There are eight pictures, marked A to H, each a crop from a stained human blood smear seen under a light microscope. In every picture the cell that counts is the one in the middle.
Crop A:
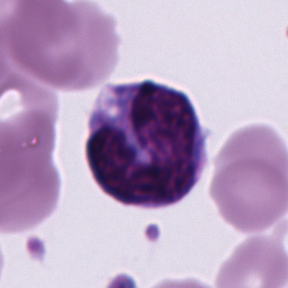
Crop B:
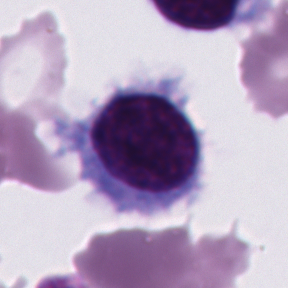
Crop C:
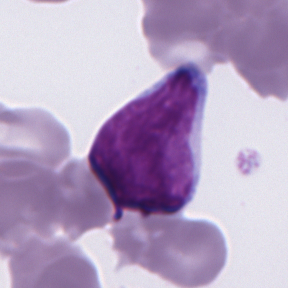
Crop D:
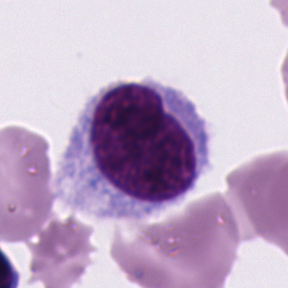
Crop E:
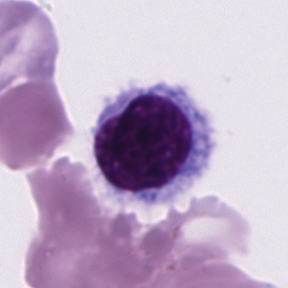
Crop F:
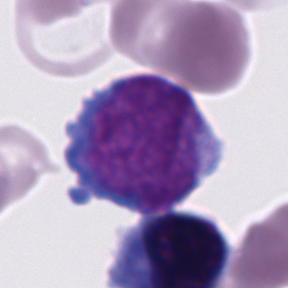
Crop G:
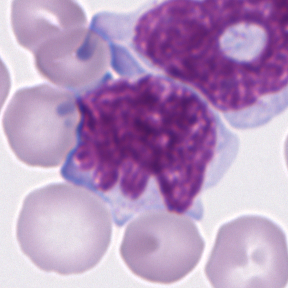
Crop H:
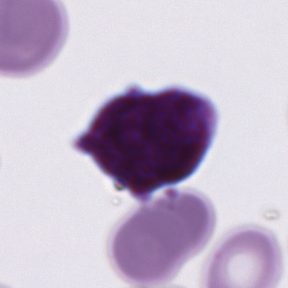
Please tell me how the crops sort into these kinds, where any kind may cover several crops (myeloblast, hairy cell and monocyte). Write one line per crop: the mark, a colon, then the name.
A: monocyte
B: hairy cell
C: myeloblast
D: hairy cell
E: hairy cell
F: myeloblast
G: monocyte
H: myeloblast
